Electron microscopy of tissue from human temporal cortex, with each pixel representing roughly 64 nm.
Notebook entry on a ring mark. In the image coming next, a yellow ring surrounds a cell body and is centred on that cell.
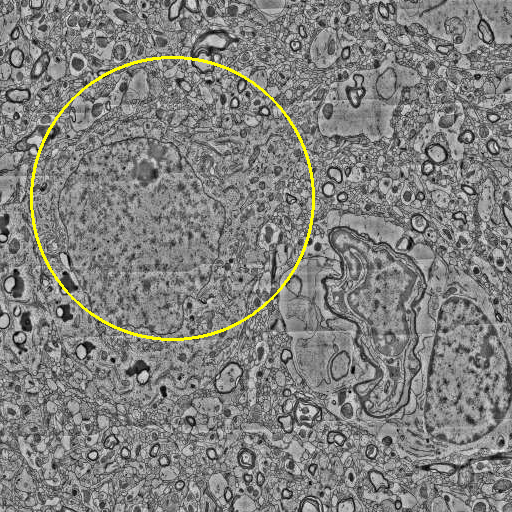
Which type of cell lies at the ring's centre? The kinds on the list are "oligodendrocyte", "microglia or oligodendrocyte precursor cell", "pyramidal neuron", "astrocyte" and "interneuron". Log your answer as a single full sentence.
Centred in the yellow ring is a pyramidal neuron, the cell recorded for this image.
